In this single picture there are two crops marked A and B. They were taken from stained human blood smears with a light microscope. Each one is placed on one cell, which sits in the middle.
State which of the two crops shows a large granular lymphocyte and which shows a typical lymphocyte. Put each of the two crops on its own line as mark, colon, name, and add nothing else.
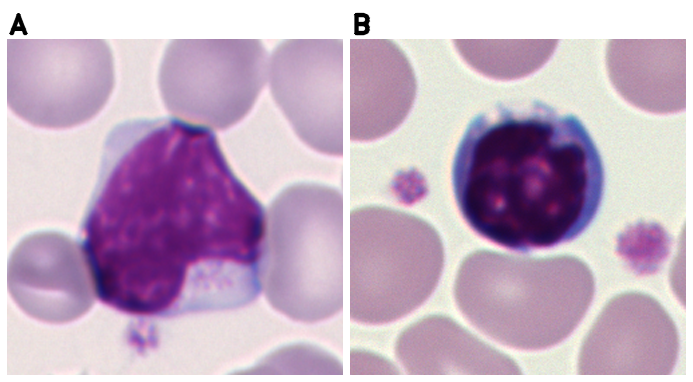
A: large granular lymphocyte
B: typical lymphocyte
